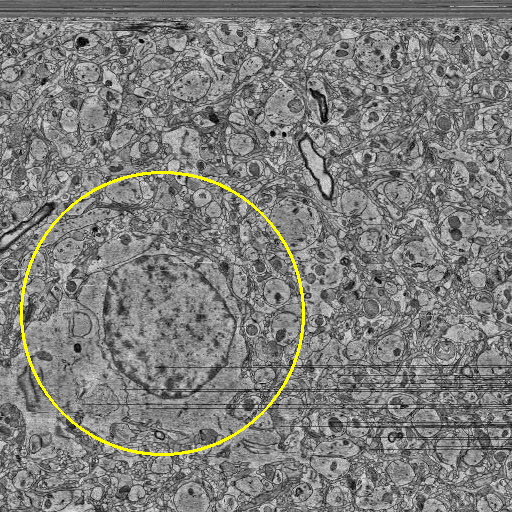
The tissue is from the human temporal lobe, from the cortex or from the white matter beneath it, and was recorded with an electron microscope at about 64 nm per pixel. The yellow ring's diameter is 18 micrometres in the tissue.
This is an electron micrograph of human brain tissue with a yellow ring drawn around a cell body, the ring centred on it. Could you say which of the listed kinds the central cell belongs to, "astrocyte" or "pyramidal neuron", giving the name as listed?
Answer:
astrocyte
